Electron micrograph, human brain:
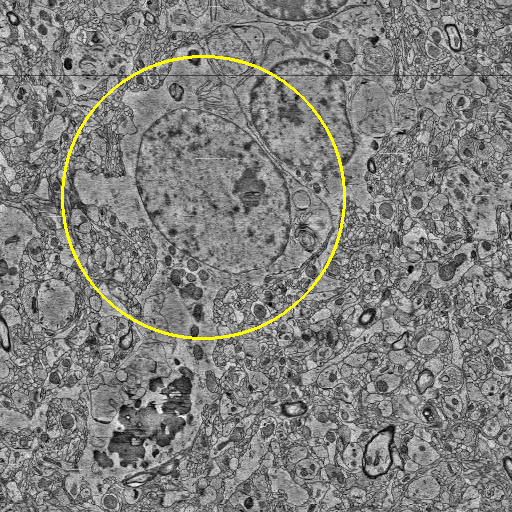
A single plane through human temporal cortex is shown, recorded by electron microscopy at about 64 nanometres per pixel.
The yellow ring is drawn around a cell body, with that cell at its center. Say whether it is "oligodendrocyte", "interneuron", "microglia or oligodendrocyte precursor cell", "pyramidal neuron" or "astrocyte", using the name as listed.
astrocyte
